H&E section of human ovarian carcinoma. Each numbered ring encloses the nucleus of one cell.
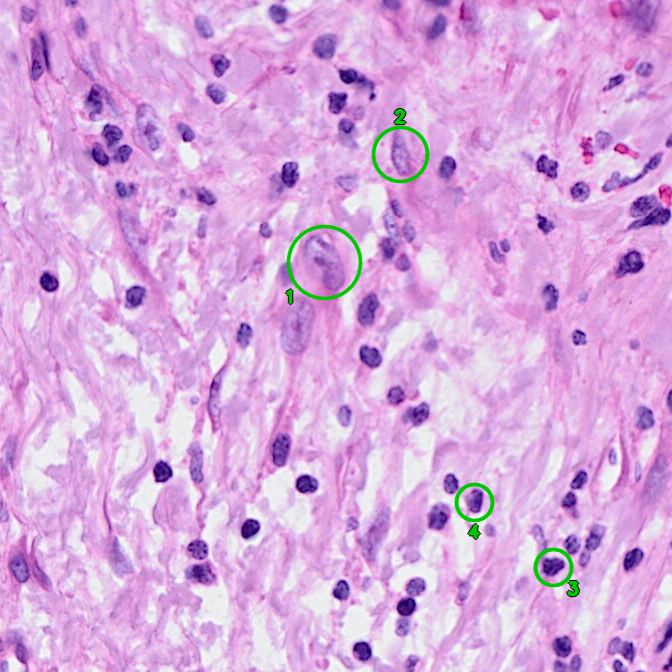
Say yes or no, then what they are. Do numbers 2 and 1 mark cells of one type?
Yes, both are fibroblasts.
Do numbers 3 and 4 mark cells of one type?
Yes, both are lymphocytes.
